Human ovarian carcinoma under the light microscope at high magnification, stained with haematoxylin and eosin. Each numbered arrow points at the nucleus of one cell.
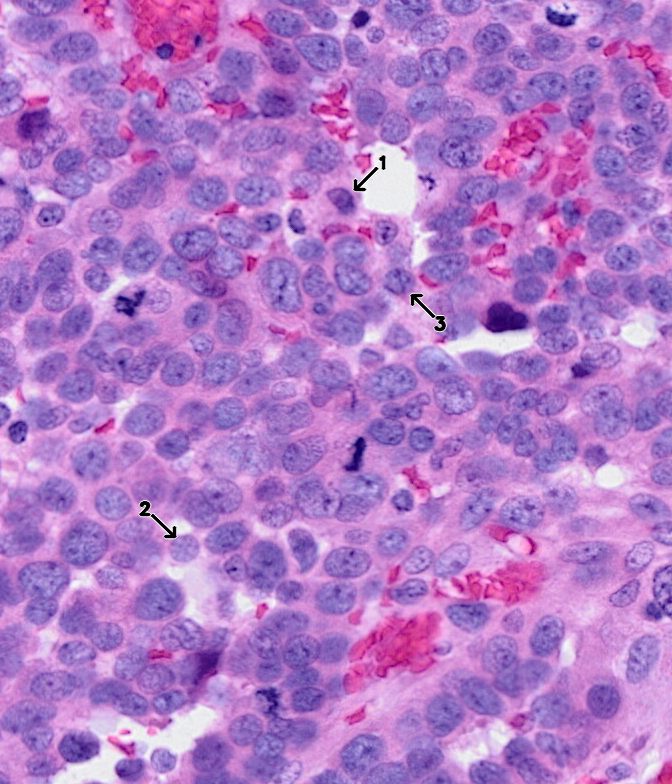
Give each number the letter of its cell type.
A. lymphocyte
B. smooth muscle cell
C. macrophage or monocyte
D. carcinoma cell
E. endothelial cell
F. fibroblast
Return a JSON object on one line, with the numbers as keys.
{"1": "C", "2": "D", "3": "C"}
